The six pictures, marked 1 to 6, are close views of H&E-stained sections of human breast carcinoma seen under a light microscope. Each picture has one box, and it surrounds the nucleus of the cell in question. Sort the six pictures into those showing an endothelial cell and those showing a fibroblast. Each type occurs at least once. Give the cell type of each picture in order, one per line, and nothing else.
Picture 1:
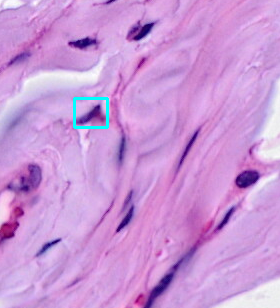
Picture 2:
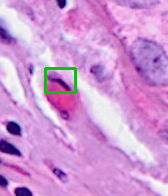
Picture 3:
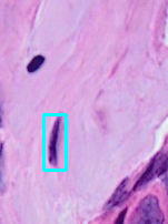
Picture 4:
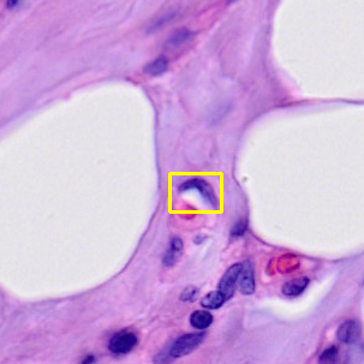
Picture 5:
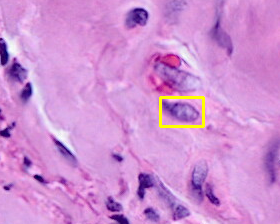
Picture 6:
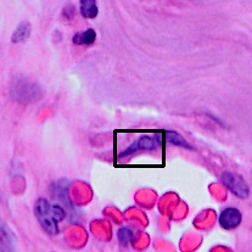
fibroblast
endothelial cell
fibroblast
endothelial cell
endothelial cell
endothelial cell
